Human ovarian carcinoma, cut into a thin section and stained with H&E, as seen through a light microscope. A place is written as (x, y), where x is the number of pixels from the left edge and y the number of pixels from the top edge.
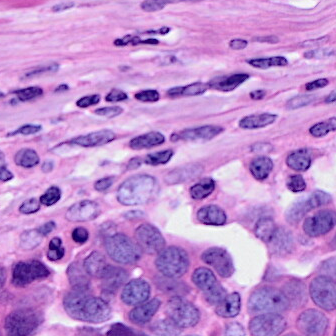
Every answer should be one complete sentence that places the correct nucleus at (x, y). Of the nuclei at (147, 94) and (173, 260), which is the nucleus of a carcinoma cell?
Of the two nuclei, the nucleus belonging to a carcinoma cell is located at (173, 260).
